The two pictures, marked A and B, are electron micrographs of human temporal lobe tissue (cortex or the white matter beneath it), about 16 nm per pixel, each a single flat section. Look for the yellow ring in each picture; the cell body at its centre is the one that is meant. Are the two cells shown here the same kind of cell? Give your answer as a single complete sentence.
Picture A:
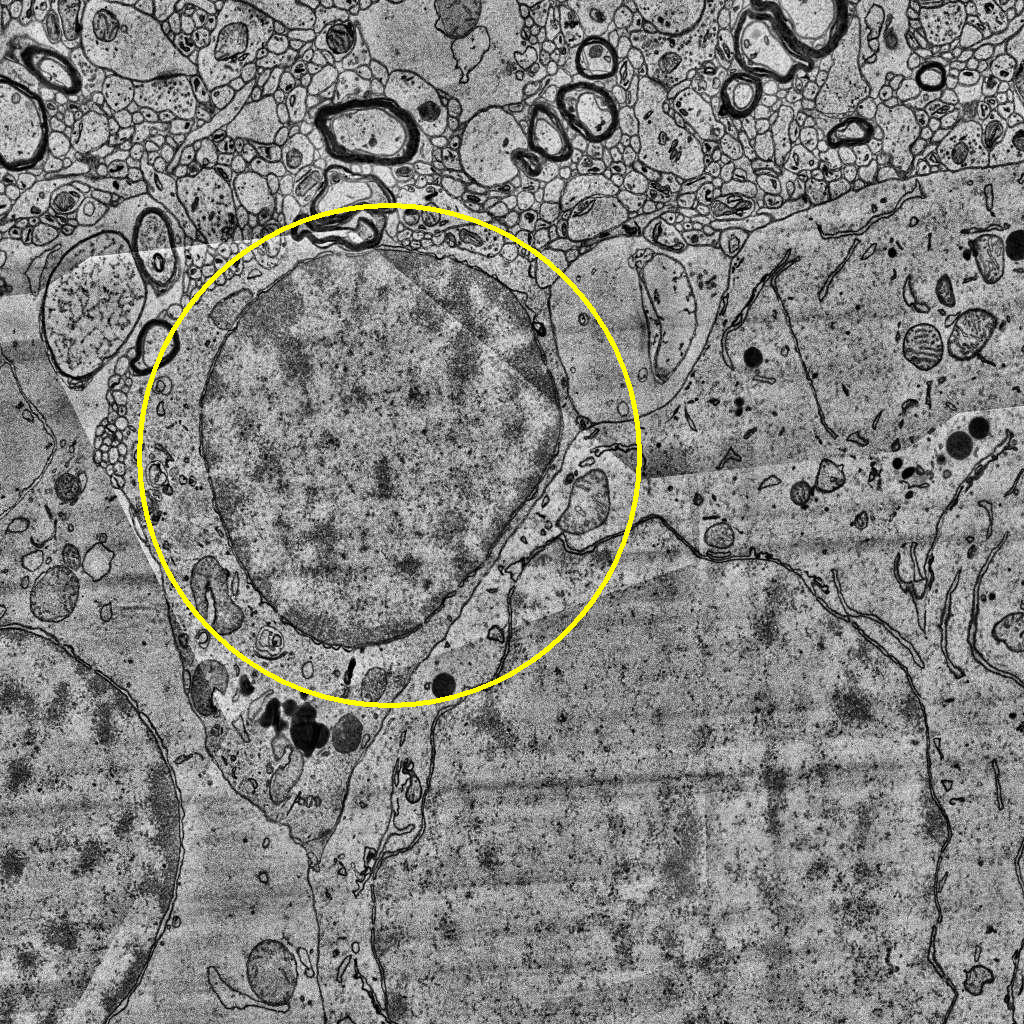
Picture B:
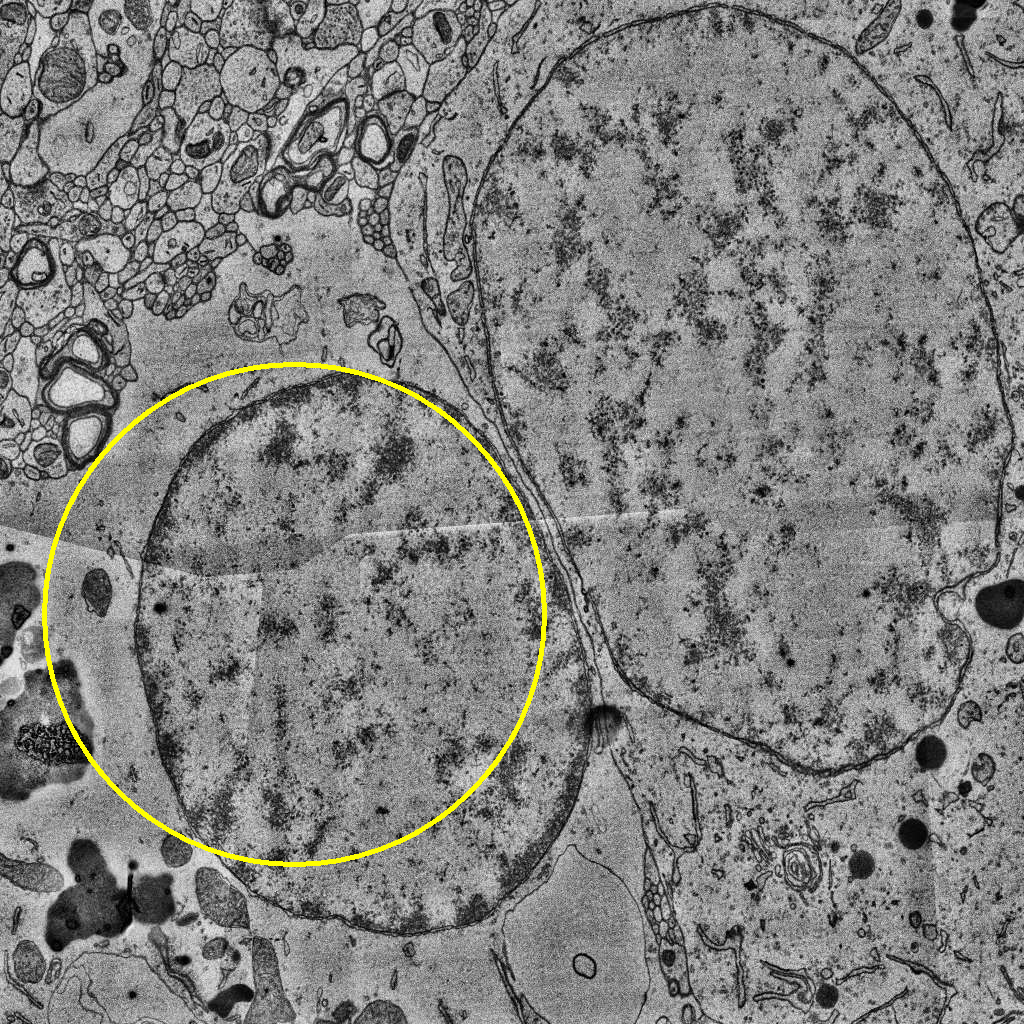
No, the types are not the same, since picture A shows an oligodendrocyte and picture B an astrocyte.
